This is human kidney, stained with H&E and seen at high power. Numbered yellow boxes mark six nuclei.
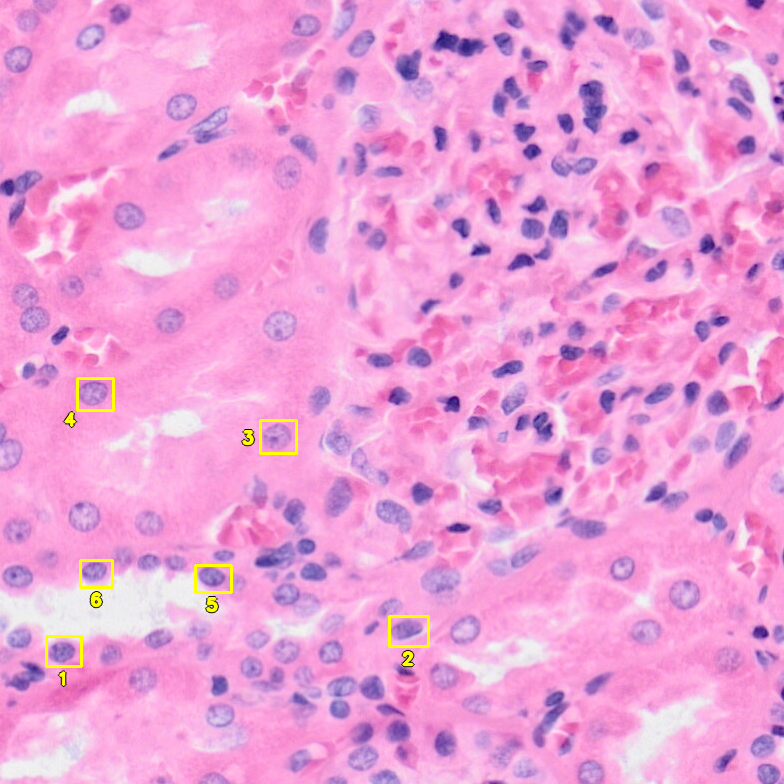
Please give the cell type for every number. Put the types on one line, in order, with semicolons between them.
loop of Henle or distal tubule cell; endothelial cell; proximal tubule cell; proximal tubule cell; loop of Henle or distal tubule cell; loop of Henle or distal tubule cell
